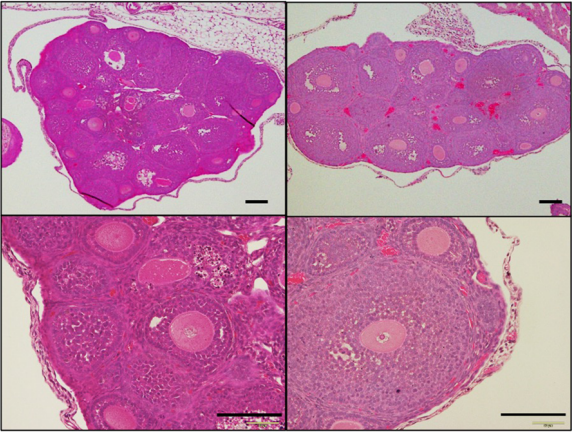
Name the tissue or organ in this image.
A: Ovaries.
